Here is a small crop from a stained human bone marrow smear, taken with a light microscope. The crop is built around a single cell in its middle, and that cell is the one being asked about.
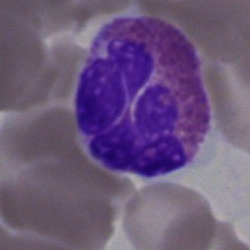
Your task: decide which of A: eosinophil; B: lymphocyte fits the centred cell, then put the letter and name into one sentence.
Option A correctly names the cell in the middle as an eosinophil.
